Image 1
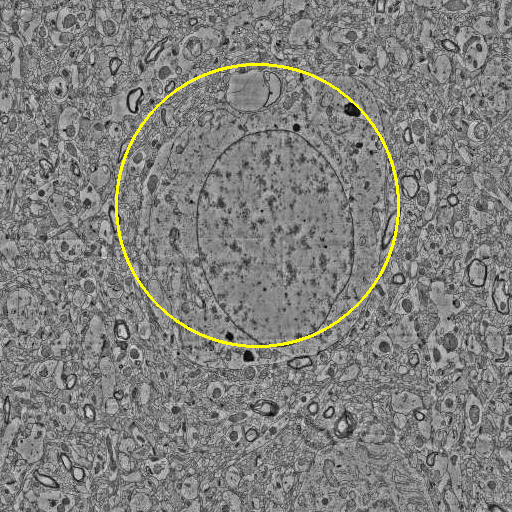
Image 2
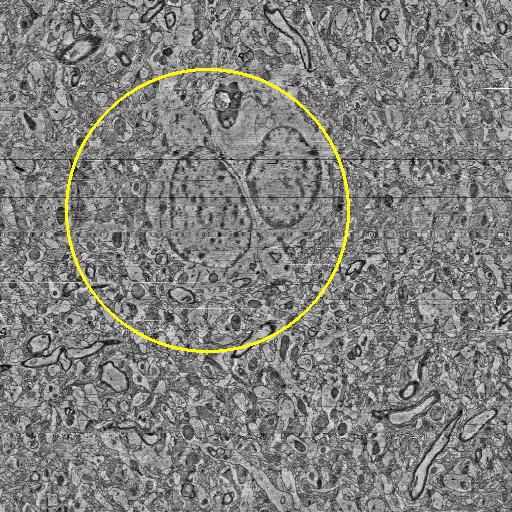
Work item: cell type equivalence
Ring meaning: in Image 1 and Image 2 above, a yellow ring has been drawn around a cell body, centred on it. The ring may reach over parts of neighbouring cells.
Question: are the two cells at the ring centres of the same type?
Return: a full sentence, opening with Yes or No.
No, the two centred cells are of two types.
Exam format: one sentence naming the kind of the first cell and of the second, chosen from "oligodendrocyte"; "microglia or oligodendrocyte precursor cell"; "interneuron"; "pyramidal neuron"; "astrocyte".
The first picture's cell is a pyramidal neuron, and the second picture's cell is an astrocyte.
